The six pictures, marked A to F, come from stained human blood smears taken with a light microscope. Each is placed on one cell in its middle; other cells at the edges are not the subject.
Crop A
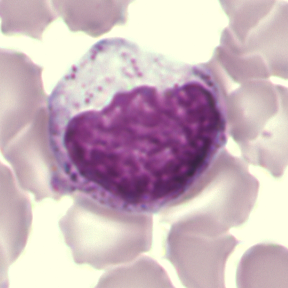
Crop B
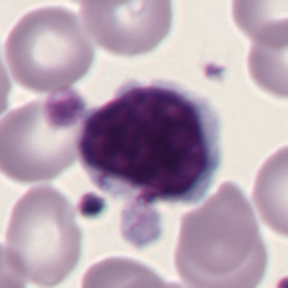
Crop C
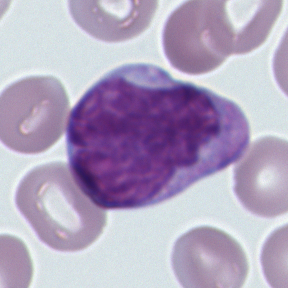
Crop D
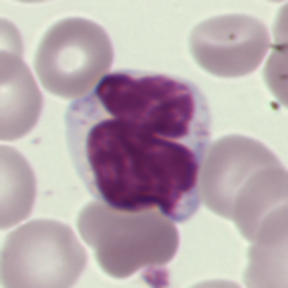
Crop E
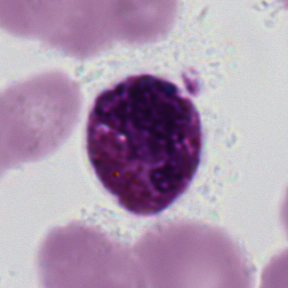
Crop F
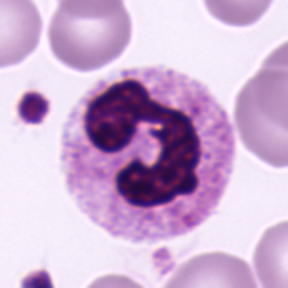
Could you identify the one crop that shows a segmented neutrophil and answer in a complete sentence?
Crop F is the one in this set that shows a segmented neutrophil.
